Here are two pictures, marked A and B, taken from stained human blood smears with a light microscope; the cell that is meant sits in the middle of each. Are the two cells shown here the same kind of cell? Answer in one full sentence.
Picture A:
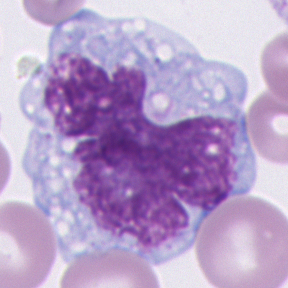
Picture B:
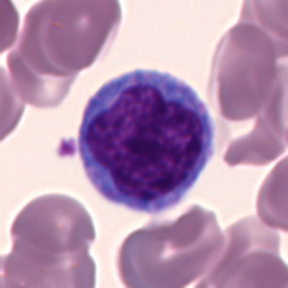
Yes, the two pictures both show monocytes.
